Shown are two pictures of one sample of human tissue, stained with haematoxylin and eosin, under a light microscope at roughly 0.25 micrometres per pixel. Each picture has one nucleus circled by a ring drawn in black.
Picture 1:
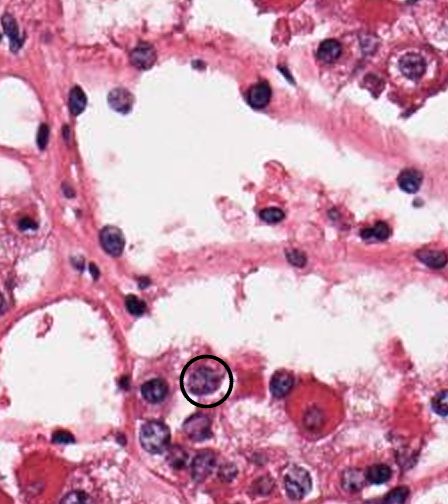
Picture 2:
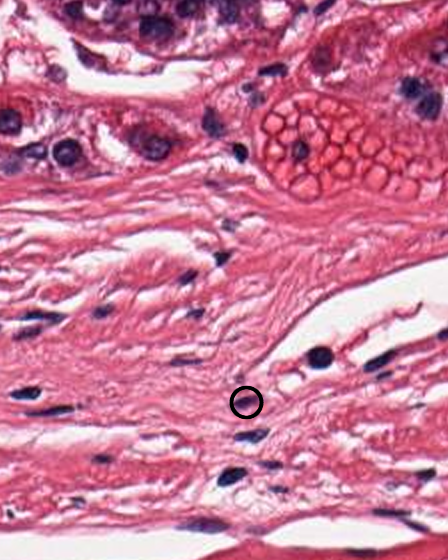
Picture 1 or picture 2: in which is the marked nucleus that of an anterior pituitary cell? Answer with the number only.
1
